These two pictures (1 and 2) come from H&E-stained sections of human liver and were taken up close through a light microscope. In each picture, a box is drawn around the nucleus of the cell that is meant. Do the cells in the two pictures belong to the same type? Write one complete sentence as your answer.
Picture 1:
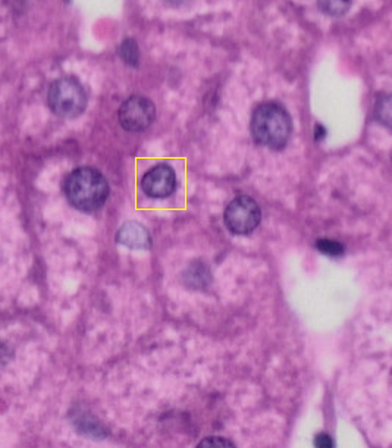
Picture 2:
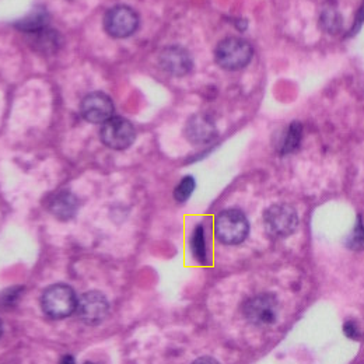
No, they differ: the cell is a hepatocyte in picture 1 and a “fibroblast or stellate cell” in picture 2.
